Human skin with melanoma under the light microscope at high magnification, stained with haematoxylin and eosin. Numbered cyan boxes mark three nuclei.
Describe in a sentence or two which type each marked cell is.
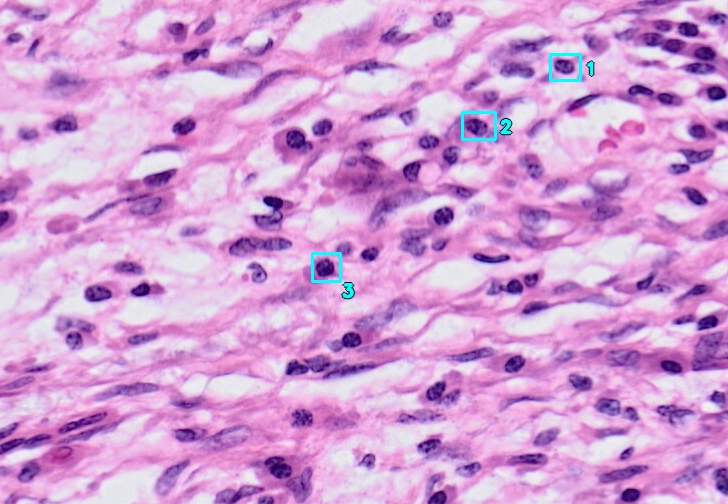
Cell 1 is a lymphocyte, cell 2 is a plasma cell and cell 3 is a plasma cell.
